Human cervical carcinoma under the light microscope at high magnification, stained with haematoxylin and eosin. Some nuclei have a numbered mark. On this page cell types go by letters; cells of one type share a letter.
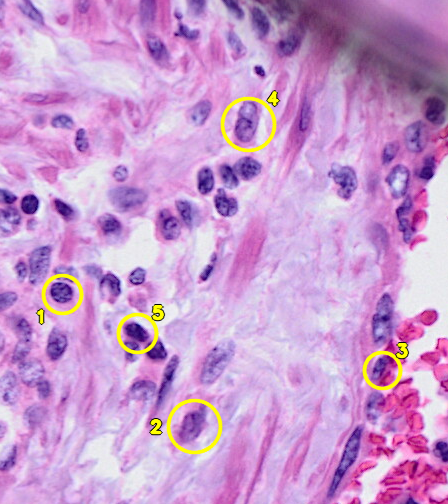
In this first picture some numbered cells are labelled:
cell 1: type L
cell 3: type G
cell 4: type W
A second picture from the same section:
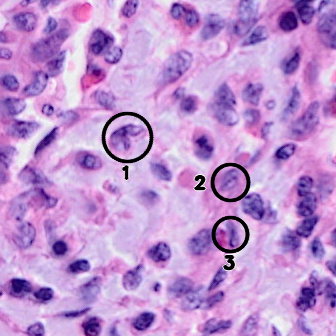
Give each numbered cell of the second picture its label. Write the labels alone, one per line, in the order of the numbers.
type W
type G
type G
